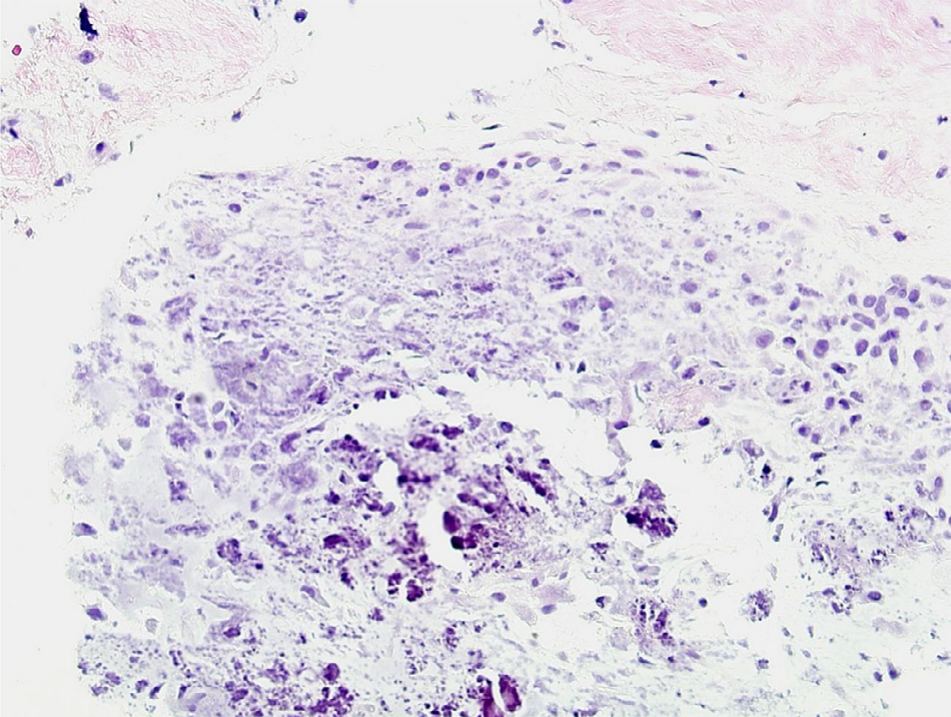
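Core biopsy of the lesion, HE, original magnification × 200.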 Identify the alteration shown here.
extensively calcified chondromatous proliferation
